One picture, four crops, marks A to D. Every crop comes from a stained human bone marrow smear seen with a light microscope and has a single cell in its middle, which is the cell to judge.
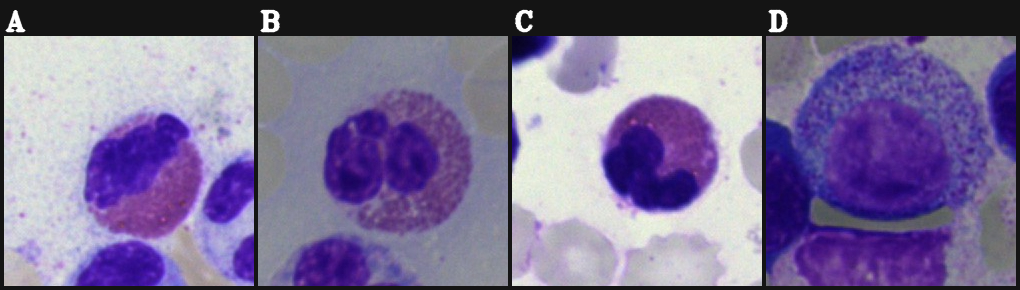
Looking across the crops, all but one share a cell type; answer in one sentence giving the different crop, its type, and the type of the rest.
The central cell of crop D is a promyelocyte, while the other crops show eosinophils.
